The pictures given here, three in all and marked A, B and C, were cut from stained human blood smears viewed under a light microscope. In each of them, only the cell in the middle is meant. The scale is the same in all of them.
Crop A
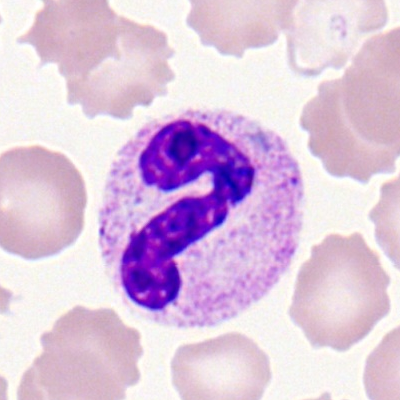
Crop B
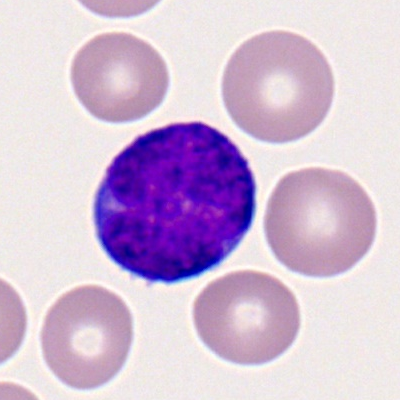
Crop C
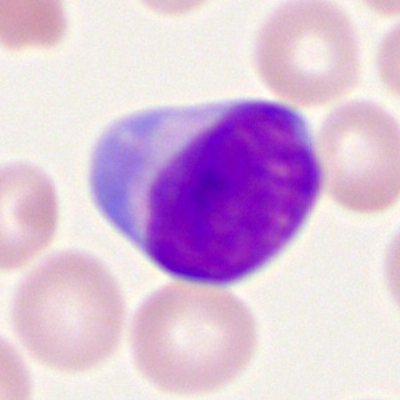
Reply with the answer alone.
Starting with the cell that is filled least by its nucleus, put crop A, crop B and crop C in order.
A, C, B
